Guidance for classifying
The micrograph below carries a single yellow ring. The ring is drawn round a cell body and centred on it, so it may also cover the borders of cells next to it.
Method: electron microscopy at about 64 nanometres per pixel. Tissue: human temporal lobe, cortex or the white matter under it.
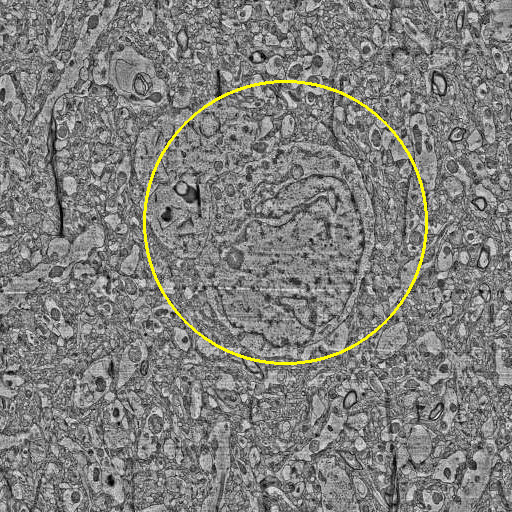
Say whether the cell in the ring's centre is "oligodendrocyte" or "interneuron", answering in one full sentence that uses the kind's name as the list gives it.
Within the yellow ring, an interneuron is the cell whose body sits at the centre.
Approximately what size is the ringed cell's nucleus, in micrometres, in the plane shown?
Roughly 12 by 9 micrometres in this plane, for the nucleus of the ringed cell.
